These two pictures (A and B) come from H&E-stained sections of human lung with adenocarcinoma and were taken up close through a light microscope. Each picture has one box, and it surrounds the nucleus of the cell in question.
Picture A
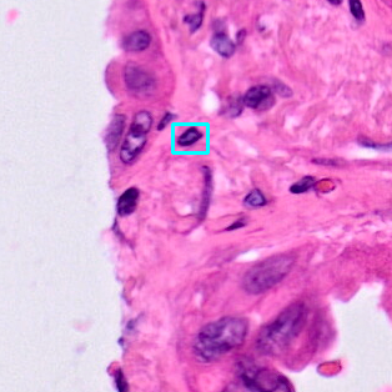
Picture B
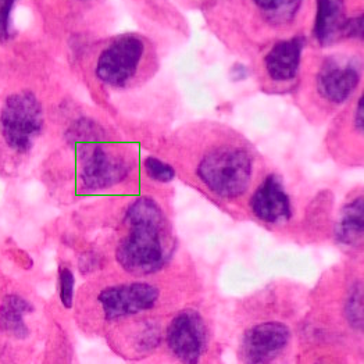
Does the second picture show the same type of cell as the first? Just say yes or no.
no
